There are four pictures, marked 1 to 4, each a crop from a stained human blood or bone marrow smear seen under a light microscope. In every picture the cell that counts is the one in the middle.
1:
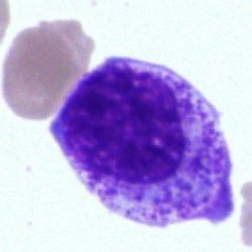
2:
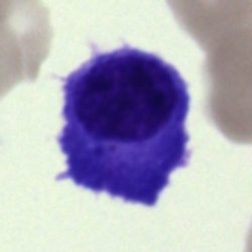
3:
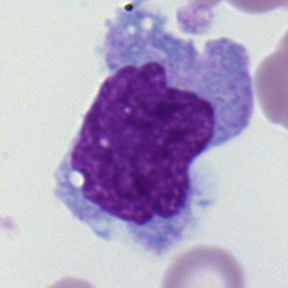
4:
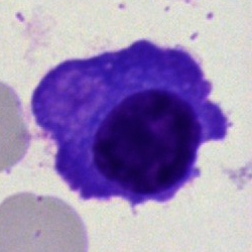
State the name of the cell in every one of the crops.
1: myelocyte
2: plasma cell
3: monocyte
4: plasma cell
